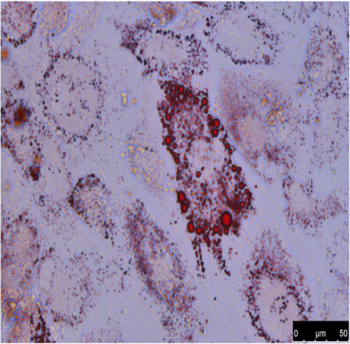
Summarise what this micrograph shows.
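The cells are broad and flattened, with pale lilac cytoplasm and faint outlines. Within many of them lie numerous small dark-red droplets scattered through the cytoplasm. One cell near the center is crowded with a dense cluster of larger, rounder red droplets, the most lipid-laden cell in the field. A few pale yellowish droplets are also seen in neighbouring cells.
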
